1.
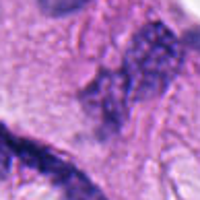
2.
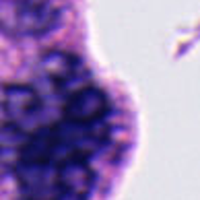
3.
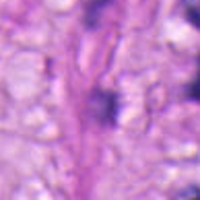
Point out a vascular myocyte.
That is picture 3.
